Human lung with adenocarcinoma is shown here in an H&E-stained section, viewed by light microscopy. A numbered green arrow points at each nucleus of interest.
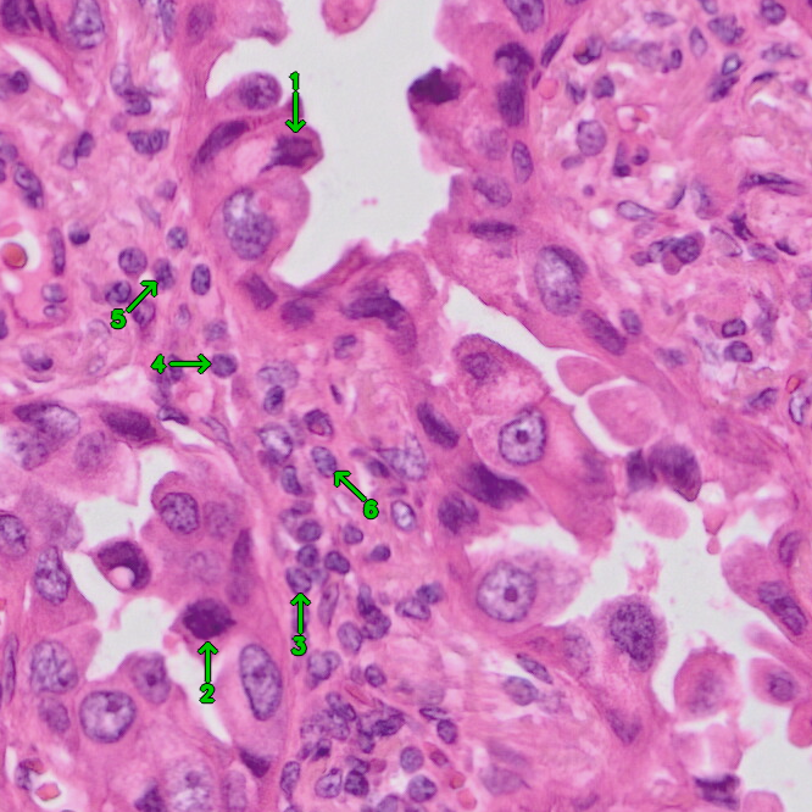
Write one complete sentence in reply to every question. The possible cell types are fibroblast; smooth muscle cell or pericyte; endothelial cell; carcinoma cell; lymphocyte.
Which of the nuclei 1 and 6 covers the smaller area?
The smaller nucleus is 6, and 1 covers roughly 2 times its area.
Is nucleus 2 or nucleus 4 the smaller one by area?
It is nucleus 4; nucleus 2 has about 3 times its area.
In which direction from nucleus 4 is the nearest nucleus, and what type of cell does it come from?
The nearest one is a lymphocyte, found above nucleus 4.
